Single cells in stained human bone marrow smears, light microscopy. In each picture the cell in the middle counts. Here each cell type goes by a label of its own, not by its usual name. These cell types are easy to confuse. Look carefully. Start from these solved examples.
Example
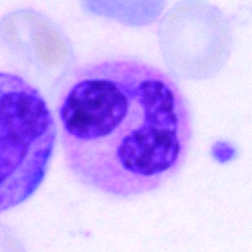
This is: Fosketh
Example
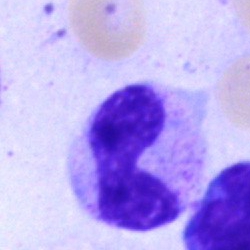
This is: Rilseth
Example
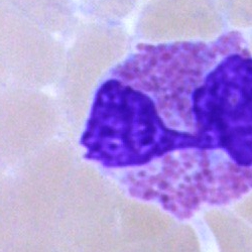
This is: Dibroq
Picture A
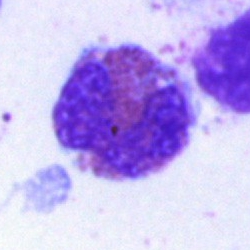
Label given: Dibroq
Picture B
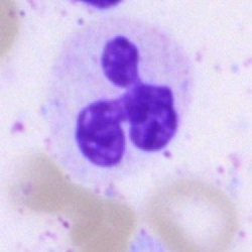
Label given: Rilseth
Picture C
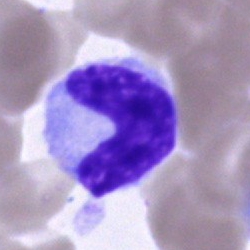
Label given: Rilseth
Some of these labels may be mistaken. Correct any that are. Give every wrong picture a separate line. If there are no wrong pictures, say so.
B should be Fosketh, not Rilseth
